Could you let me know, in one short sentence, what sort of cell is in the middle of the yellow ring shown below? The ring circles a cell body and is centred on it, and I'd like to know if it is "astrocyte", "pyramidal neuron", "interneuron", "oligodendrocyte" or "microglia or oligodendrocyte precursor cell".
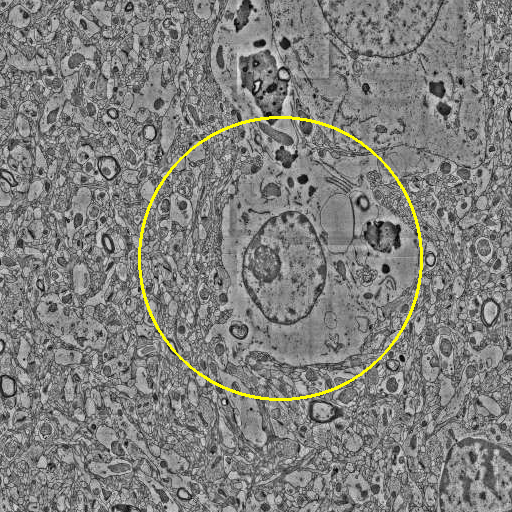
The ring circles the cell body of an astrocyte.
